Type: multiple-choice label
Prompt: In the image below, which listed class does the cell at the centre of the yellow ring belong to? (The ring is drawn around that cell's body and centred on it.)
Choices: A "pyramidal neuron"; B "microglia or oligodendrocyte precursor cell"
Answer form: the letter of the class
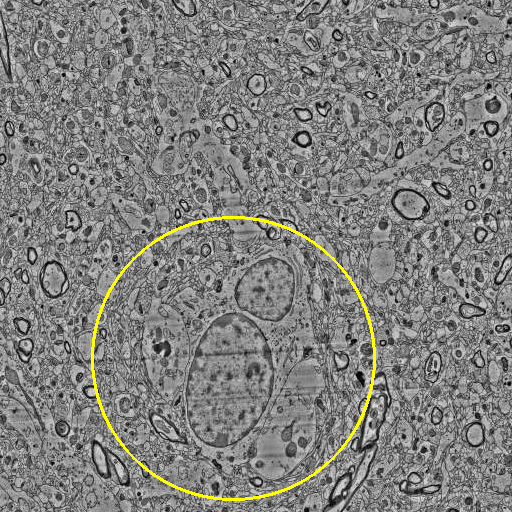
B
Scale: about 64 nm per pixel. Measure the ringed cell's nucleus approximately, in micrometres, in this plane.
Approximately 9 by 5 micrometers, which makes the nucleus clearly longer than it is wide in this plane.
